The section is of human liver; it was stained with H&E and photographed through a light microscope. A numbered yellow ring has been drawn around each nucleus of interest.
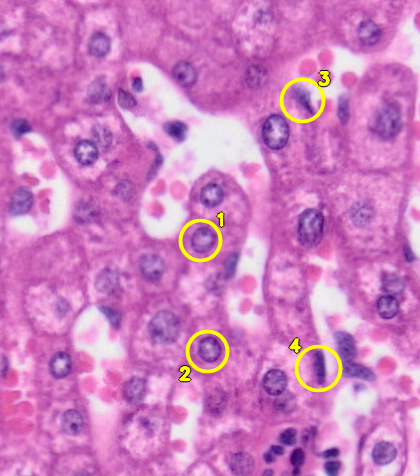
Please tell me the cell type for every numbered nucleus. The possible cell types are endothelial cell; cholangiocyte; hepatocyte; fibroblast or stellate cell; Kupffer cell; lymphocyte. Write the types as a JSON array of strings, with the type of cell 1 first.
["hepatocyte", "hepatocyte", "endothelial cell", "fibroblast or stellate cell"]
